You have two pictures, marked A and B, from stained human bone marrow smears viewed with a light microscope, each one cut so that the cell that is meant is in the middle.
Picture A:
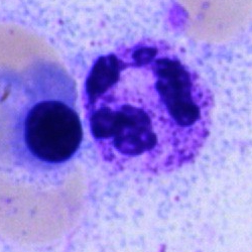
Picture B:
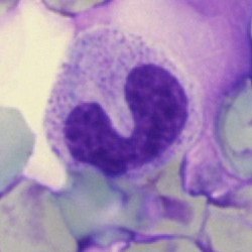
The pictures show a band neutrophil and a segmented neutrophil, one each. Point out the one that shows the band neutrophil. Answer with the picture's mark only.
B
